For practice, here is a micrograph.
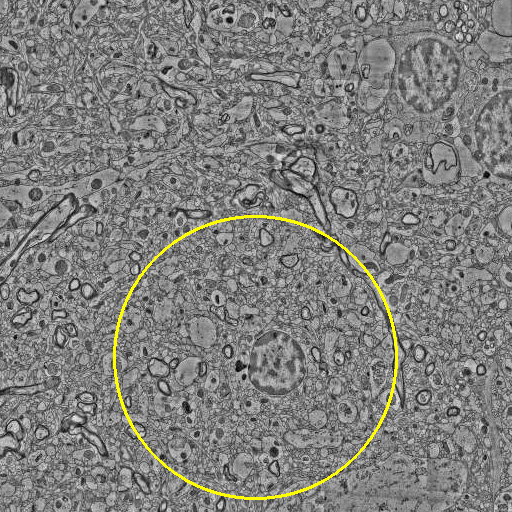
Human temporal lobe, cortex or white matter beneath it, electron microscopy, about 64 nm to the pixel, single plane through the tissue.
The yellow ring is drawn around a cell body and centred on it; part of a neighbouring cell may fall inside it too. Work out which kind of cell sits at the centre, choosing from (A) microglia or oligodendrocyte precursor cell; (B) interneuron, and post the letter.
A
